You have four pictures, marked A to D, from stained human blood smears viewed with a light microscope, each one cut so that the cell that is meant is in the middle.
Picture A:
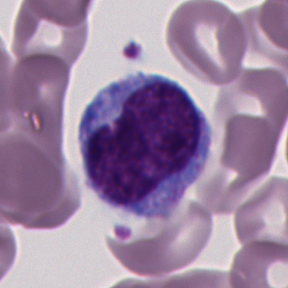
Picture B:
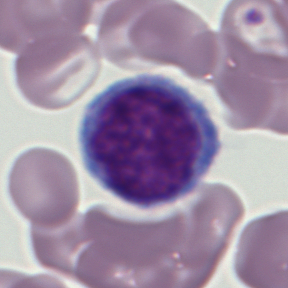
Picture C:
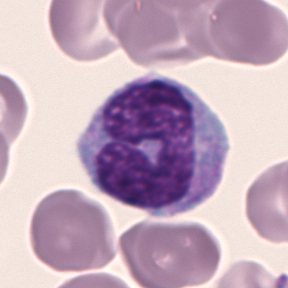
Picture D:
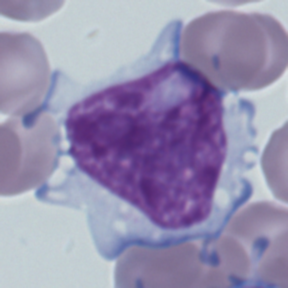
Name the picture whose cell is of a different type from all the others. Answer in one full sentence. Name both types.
All pictures except D show monocytes; picture D shows a myeloblast.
